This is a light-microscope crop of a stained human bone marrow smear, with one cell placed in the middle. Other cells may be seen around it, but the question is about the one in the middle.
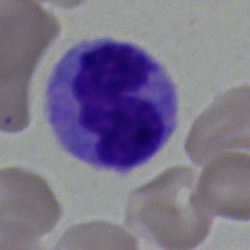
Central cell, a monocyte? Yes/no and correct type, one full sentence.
Yes, the cell at the centre of the field is a monocyte.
